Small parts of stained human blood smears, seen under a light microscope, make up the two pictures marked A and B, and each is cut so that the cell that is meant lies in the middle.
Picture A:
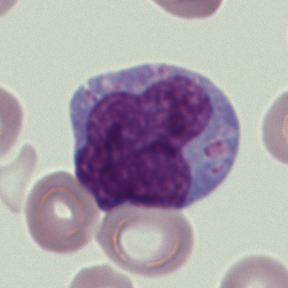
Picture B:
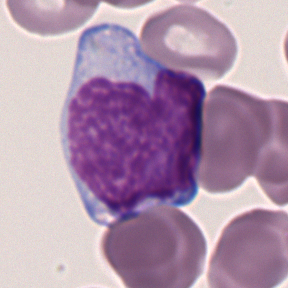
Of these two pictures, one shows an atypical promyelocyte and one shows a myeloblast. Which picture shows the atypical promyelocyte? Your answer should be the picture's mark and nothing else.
A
